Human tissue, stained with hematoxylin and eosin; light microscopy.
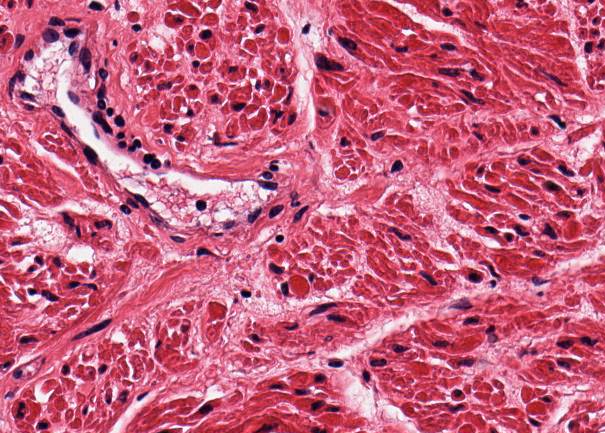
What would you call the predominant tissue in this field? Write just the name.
fibromuscular stroma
